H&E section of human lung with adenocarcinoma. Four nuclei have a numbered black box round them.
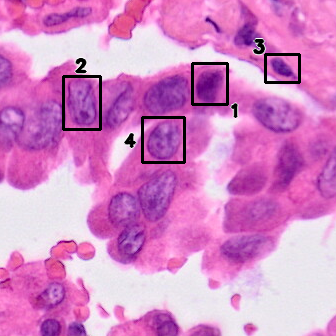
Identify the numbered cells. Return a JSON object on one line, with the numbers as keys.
{"1": "carcinoma cell", "2": "carcinoma cell", "3": "lymphocyte", "4": "carcinoma cell"}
